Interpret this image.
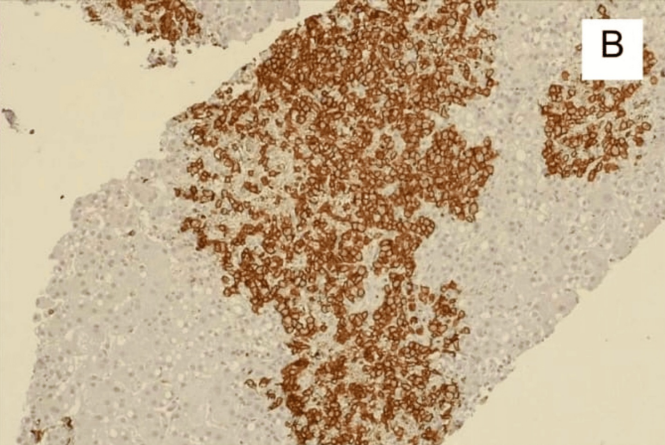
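A liver core with a large, irregular, confluent patch of cells stained deep brown, and a smaller separate brown cluster at the upper right and top edge. The brown stain rims each cell, giving a crowded honeycomb of outlines. Around these patches lie pale, unstained hepatocytes, larger and polygonal, many with clear fat vacuoles. The sharp border between brown sheets and pale liver shows how the infiltrate replaces liver tissue.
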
